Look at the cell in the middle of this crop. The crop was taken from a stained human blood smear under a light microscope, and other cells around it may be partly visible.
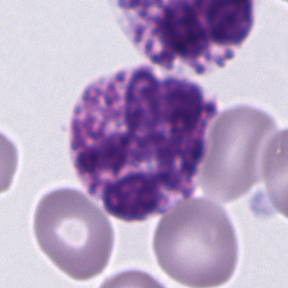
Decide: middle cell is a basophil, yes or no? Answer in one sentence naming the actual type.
Yes, the cell at the middle is a basophil.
